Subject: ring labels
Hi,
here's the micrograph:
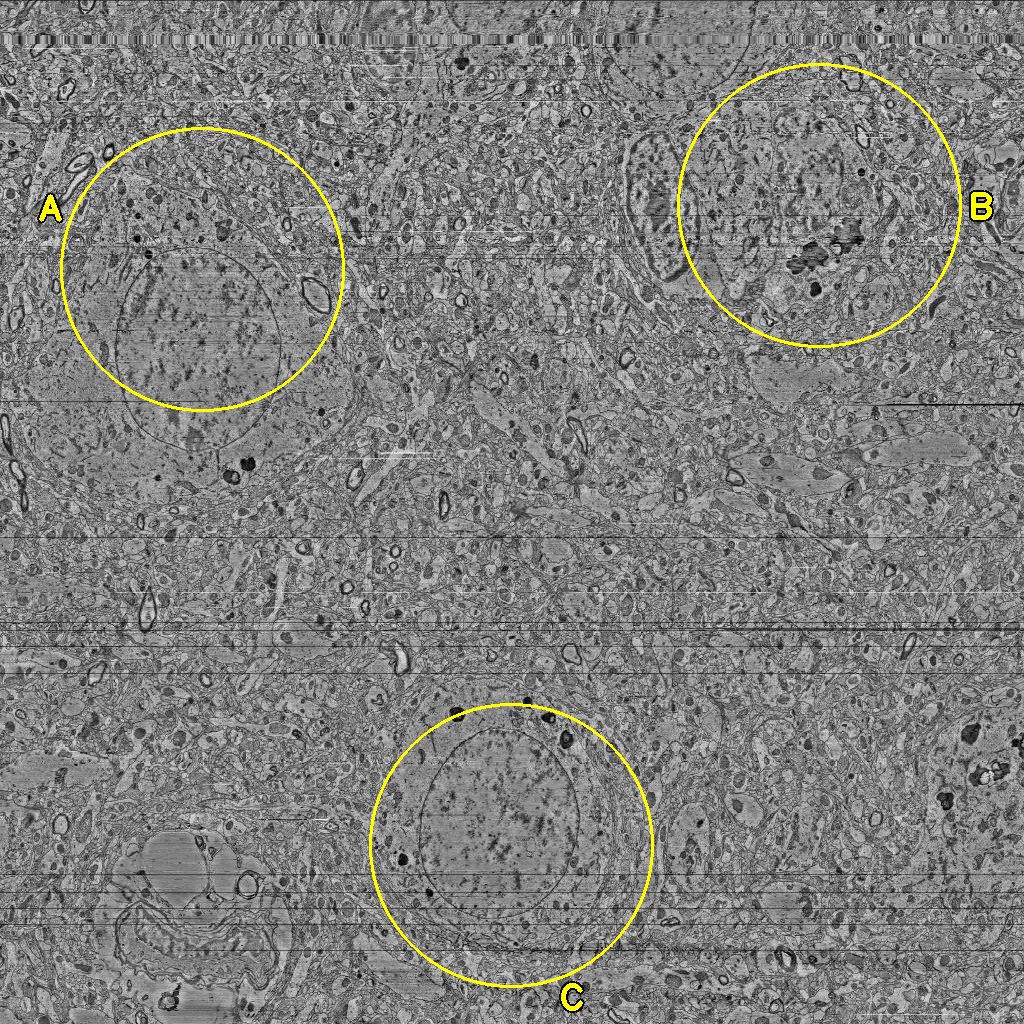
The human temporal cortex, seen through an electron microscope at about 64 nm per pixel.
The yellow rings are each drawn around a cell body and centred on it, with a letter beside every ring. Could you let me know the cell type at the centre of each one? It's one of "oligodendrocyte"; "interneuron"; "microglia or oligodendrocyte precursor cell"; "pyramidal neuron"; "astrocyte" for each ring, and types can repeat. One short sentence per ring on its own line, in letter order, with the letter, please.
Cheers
The type at the centre of ring A is a pyramidal neuron.
The type at the centre of ring B is an interneuron.
The type at the centre of ring C is a pyramidal neuron.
